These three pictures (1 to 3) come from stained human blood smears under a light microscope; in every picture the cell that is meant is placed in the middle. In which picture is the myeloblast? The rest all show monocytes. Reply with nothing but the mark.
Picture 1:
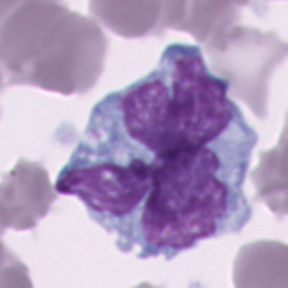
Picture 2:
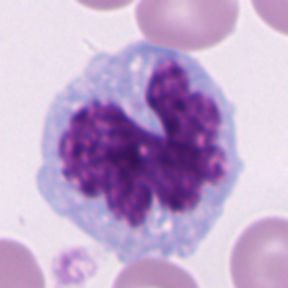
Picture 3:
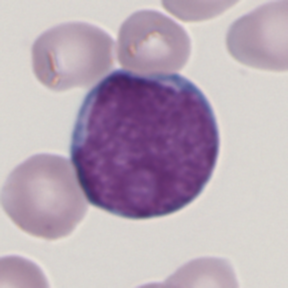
3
